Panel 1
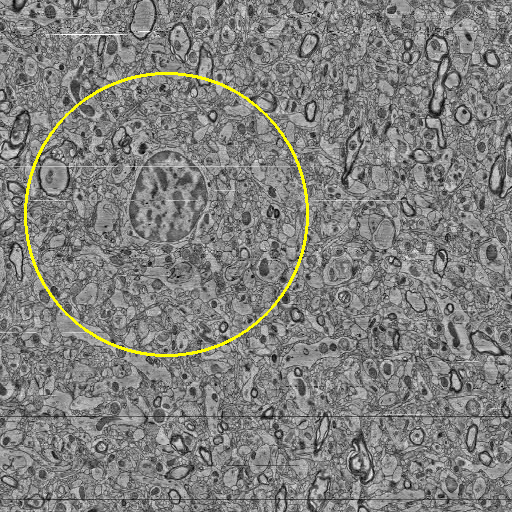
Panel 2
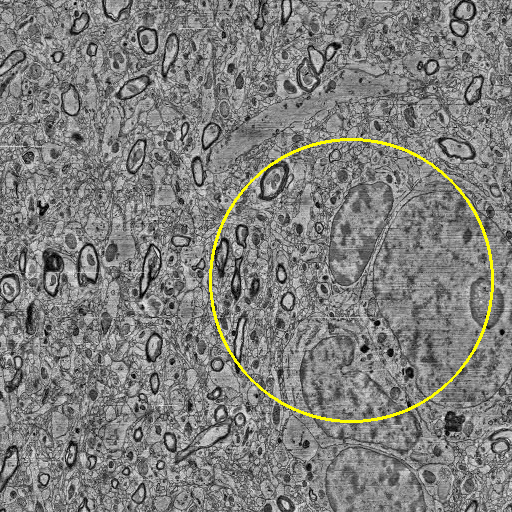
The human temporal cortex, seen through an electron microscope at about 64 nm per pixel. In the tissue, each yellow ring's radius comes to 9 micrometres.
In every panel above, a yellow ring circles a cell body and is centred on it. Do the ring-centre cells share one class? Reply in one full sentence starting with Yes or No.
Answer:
Yes, the two cells at the ring centres in the panels belong to one class.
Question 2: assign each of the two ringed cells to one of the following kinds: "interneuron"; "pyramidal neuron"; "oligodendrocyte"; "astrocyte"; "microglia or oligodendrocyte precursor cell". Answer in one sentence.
Each of the two pictures has a microglial cell or oligodendrocyte precursor cell at the ring centre.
